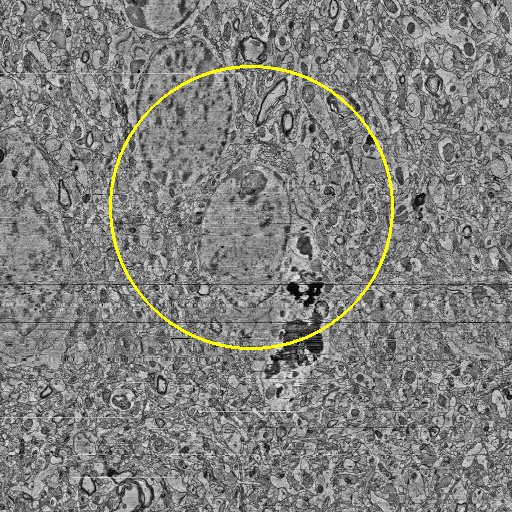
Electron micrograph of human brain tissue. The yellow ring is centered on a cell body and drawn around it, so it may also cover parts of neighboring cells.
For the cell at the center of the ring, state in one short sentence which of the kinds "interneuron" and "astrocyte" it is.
This ring is centered on an astrocyte.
